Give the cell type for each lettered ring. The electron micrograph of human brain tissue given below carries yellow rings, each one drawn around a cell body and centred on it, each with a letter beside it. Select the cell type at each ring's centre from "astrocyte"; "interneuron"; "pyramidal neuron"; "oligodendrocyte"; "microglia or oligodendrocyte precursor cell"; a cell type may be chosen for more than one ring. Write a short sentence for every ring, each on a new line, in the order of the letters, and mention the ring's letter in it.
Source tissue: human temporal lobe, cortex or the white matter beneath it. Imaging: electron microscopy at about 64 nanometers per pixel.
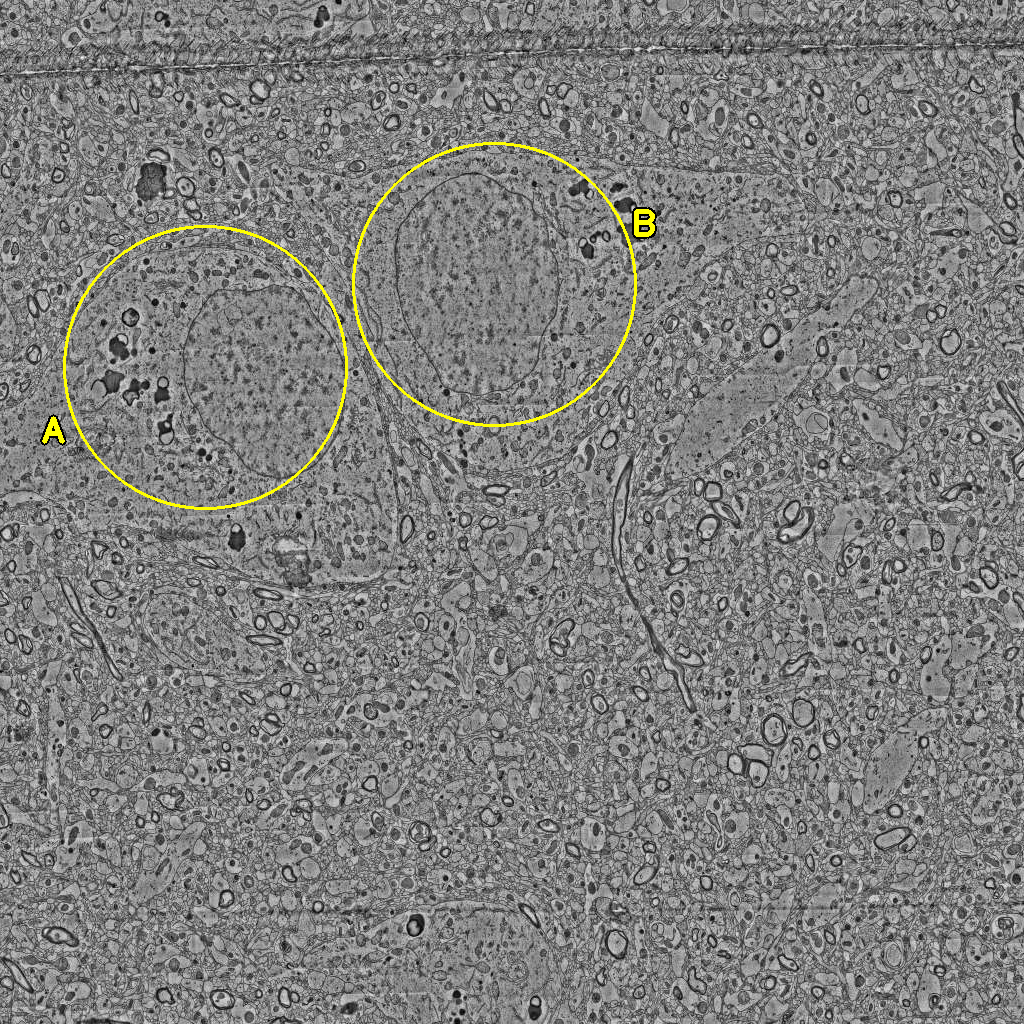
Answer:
The cell type for ring A is a pyramidal neuron.
The cell type for ring B is a pyramidal neuron.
